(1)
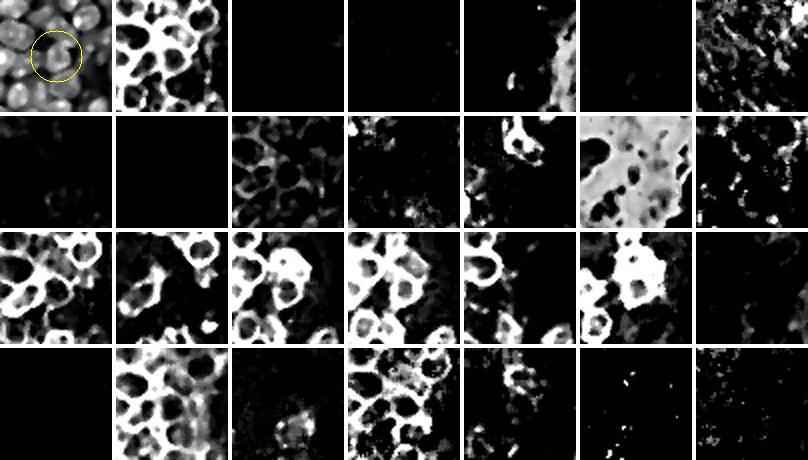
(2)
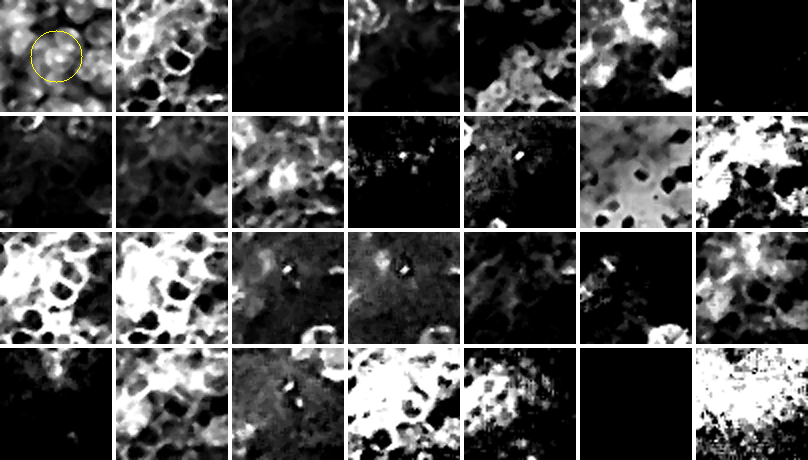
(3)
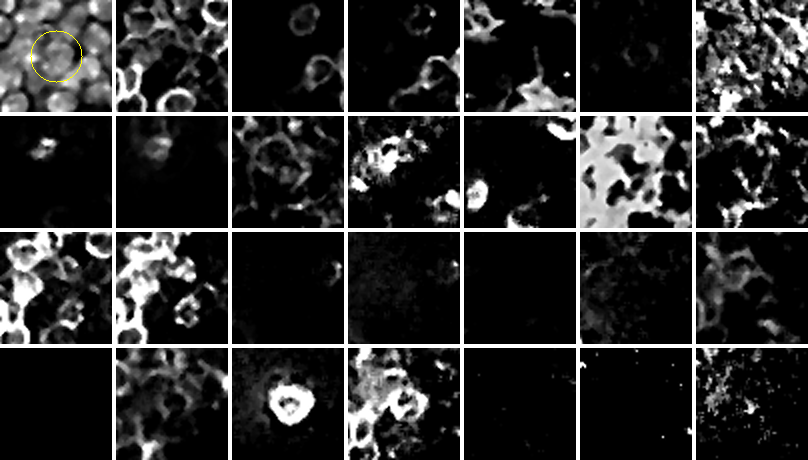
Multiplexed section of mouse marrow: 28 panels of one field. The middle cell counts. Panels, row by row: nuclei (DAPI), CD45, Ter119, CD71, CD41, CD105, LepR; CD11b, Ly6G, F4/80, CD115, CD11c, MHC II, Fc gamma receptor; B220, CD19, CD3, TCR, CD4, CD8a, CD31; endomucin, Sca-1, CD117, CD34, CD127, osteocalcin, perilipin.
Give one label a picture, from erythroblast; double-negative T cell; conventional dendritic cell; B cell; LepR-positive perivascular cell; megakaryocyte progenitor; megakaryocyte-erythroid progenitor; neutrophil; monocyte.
1: double-negative T cell
2: megakaryocyte progenitor
3: LepR-positive perivascular cell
